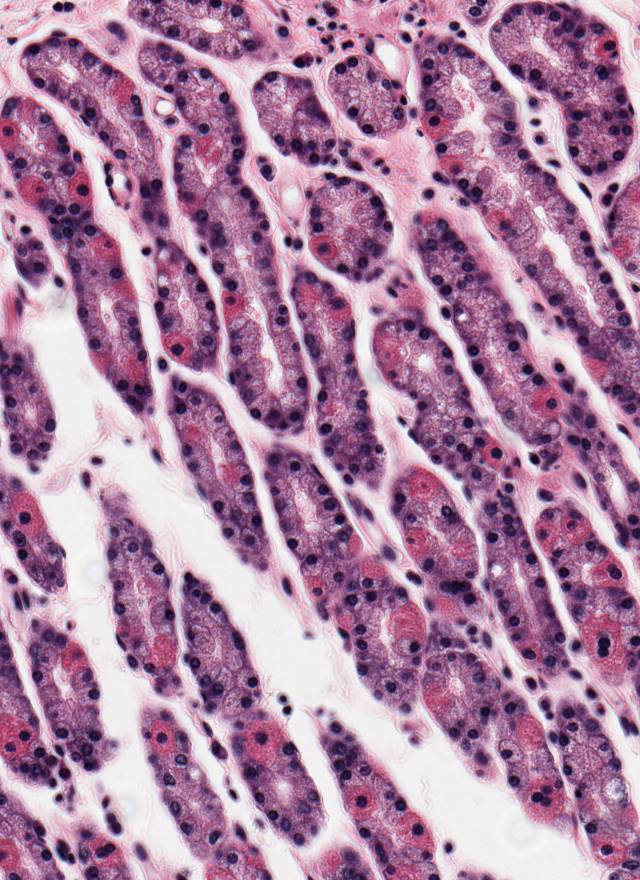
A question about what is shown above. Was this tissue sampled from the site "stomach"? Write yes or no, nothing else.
yes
